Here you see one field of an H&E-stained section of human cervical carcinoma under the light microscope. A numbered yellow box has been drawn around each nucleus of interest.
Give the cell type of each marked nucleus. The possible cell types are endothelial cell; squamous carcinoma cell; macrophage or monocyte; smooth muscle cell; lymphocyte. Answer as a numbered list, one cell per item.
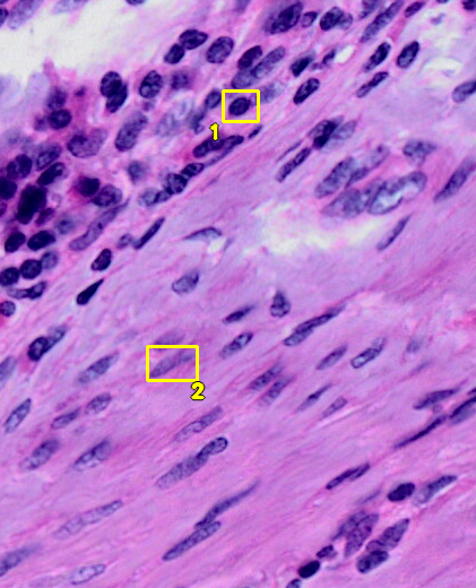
1. lymphocyte
2. smooth muscle cell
